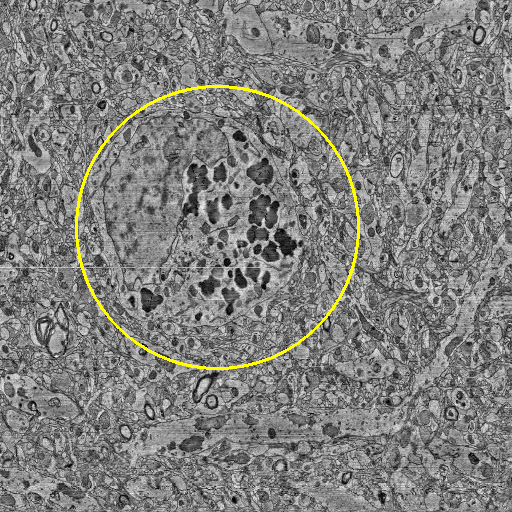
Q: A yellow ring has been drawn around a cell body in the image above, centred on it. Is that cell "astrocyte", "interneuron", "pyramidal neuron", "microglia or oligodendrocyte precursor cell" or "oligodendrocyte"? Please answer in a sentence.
The ring surrounds the cell body of an interneuron.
